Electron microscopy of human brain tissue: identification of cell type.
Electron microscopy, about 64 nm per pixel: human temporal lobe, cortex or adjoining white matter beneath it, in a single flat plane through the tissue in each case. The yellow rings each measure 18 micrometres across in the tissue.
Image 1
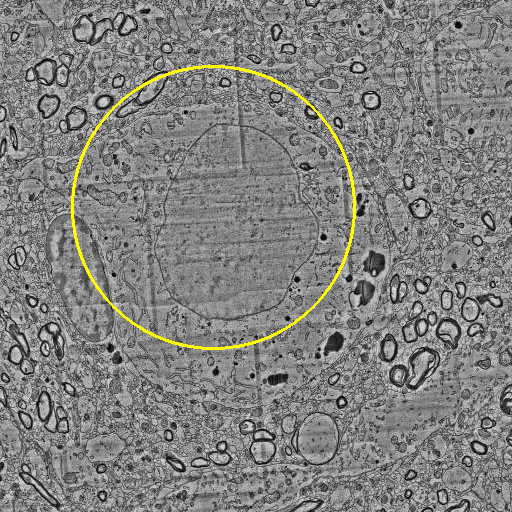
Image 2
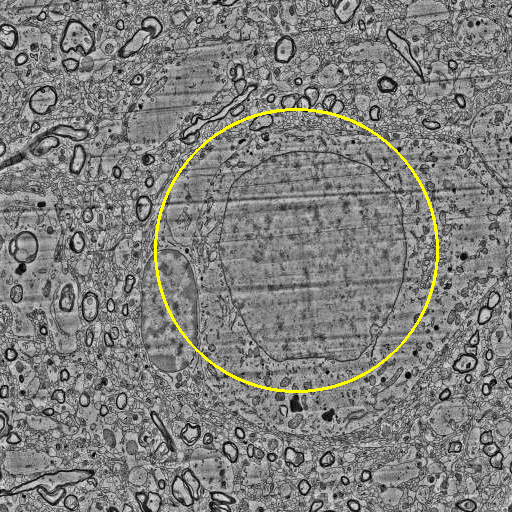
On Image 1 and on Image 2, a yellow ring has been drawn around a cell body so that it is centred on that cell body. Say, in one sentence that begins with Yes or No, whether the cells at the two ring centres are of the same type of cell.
Yes, both cells are the same type of cell.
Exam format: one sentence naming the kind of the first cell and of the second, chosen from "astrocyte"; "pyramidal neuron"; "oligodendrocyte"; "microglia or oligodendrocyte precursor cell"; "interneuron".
Each of the ringed cells, first and second, is a pyramidal neuron.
